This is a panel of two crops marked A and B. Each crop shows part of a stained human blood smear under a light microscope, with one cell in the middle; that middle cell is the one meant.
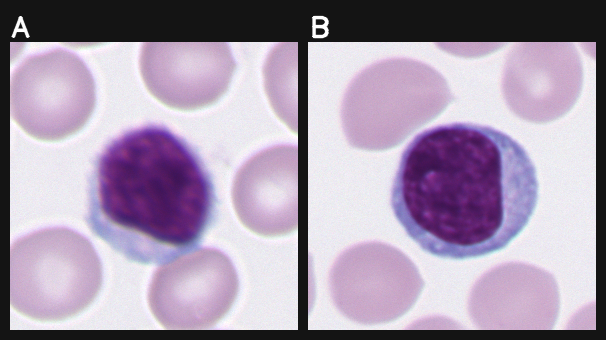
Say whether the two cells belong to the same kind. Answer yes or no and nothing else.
yes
